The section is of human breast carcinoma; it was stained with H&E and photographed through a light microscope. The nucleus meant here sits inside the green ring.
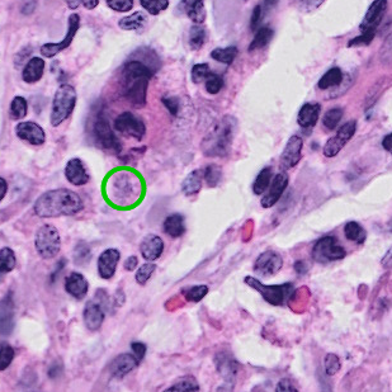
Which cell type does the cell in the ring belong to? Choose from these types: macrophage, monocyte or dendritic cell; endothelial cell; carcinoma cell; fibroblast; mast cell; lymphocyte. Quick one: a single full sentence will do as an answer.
The correct response here is that the cell in the ring is a macrophage, monocyte or dendritic cell.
